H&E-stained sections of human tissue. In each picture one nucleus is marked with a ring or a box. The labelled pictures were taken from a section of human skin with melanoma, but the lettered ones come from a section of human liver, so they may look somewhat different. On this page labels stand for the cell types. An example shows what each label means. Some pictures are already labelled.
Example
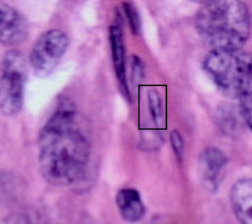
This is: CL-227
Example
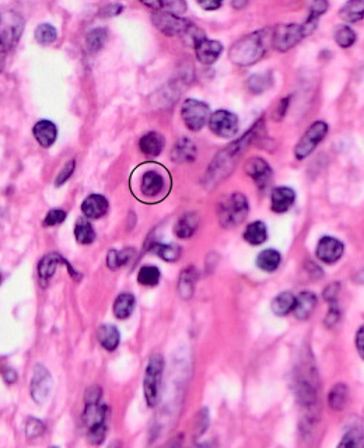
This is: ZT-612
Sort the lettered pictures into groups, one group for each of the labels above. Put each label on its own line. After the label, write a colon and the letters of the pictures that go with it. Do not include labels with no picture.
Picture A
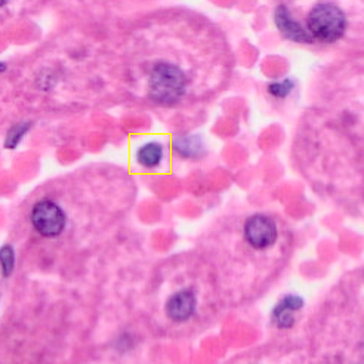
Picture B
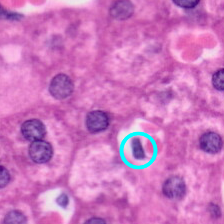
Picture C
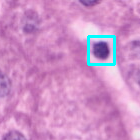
ZT-612: A, B, C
